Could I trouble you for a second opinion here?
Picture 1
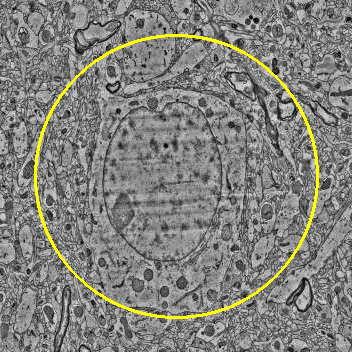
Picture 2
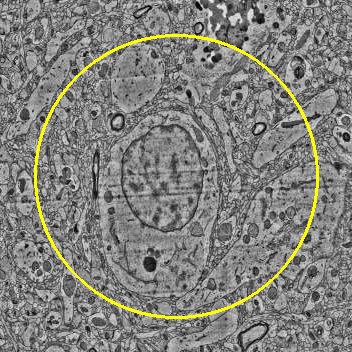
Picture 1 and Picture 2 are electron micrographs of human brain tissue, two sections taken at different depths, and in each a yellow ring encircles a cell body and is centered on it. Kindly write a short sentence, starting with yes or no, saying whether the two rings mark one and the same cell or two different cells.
Yes, one and the same cell lies under both rings.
